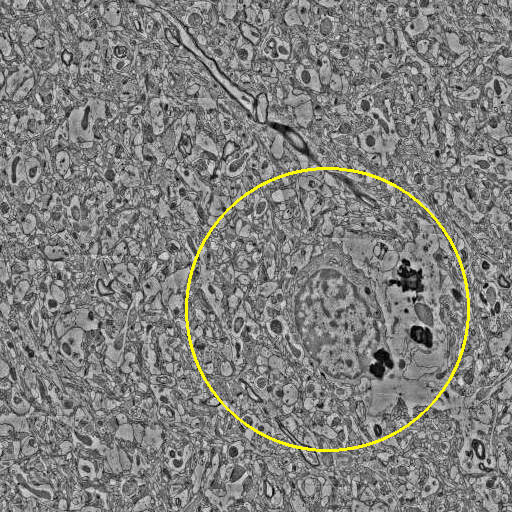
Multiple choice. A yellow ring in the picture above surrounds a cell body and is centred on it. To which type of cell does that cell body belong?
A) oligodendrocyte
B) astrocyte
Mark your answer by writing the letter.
A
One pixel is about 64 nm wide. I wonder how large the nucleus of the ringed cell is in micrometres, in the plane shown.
The nucleus measures about 6 by 5 micrometres in this plane.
